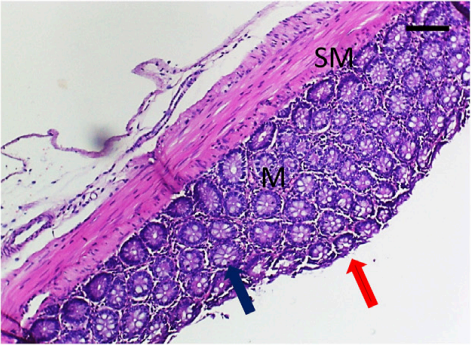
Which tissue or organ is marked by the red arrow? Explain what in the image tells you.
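Epithelium. The arrow points at the continuous lining at the mucosal surface. The surface layer is intact along the edge of the section.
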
